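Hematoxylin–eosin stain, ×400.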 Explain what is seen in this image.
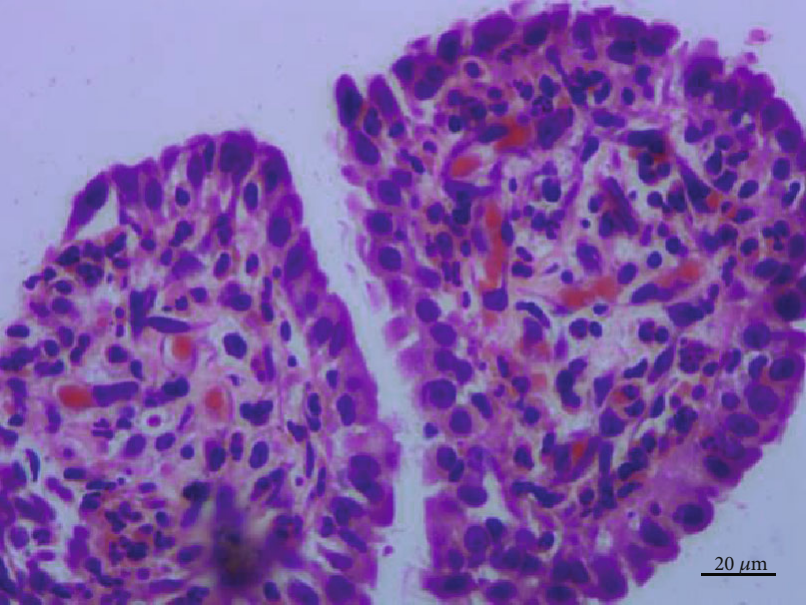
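Two papillary fronds with fibrovascular cores are each covered by a layer of crowded cells with dark purple, oval to elongated nuclei at the surface. The centres of the fronds are loose, pale pink stroma holding small vessels filled with red erythrocytes. Many scattered round and irregular dark nuclei lie throughout the stroma between the vessels.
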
